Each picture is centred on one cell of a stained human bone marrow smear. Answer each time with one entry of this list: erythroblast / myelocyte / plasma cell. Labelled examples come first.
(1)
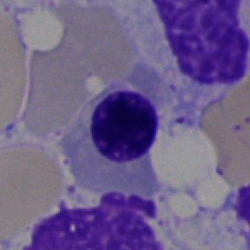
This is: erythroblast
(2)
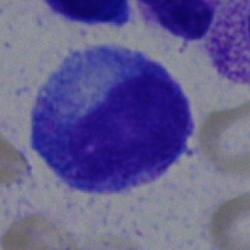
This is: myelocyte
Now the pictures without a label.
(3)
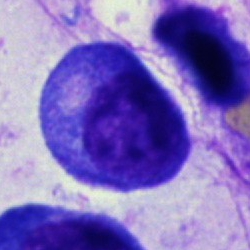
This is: plasma cell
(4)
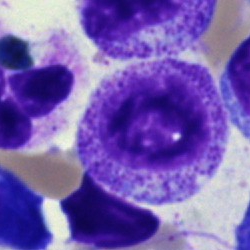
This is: myelocyte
